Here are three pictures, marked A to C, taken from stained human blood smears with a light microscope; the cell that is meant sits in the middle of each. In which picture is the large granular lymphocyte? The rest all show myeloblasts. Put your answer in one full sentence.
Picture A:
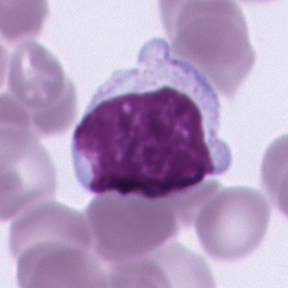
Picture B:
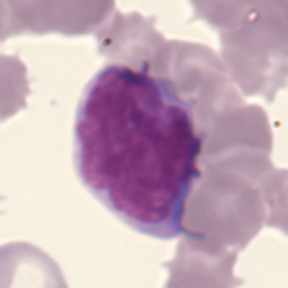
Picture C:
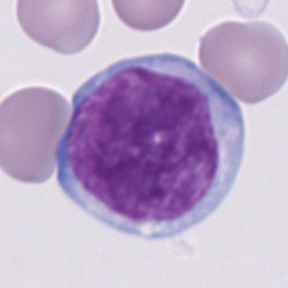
Picture A shows the large granular lymphocyte.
